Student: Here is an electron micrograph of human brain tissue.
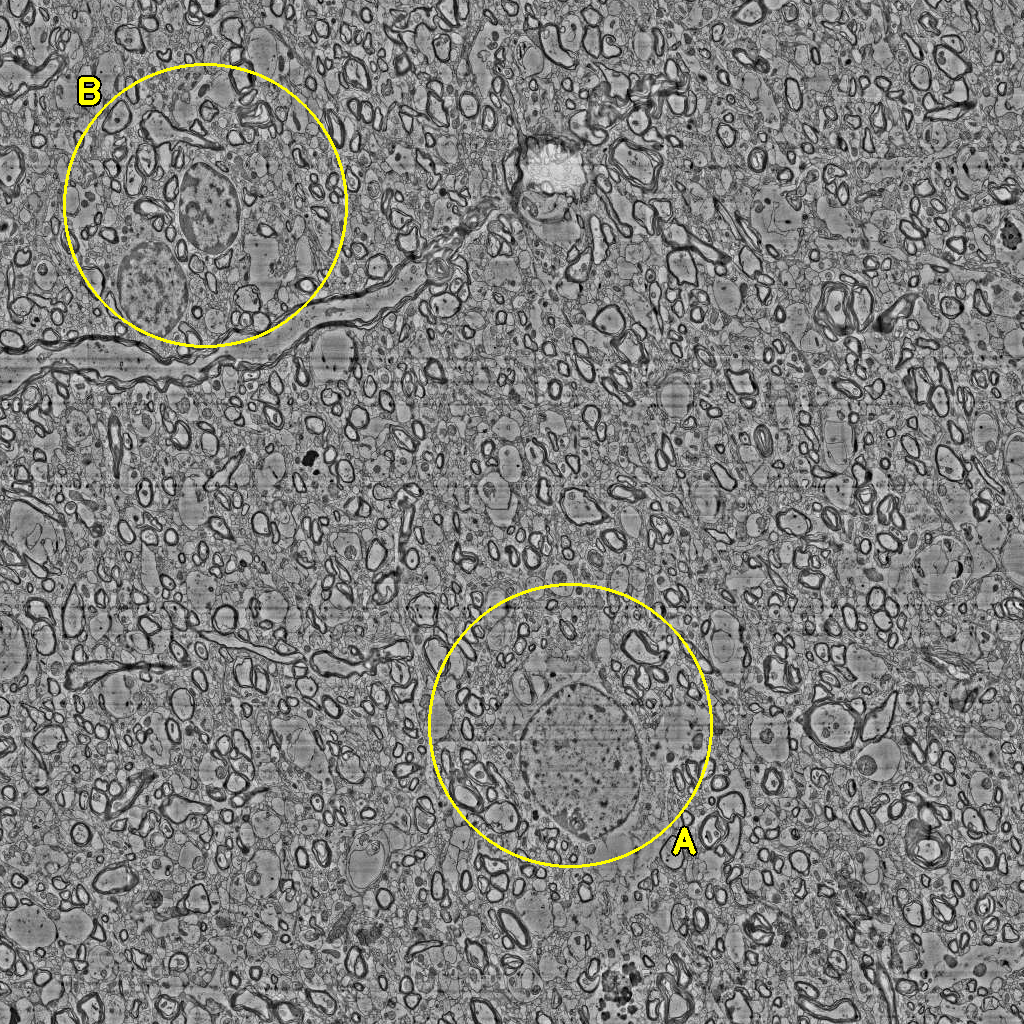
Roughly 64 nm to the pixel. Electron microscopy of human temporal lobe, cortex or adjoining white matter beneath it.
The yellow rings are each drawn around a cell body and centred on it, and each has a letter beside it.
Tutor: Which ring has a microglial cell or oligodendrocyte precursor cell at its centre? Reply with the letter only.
B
